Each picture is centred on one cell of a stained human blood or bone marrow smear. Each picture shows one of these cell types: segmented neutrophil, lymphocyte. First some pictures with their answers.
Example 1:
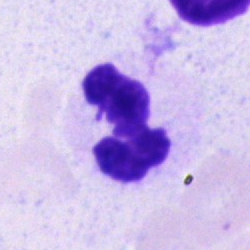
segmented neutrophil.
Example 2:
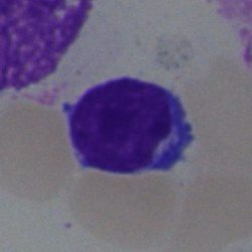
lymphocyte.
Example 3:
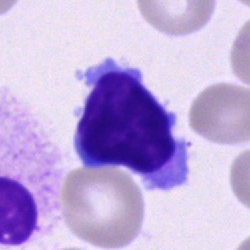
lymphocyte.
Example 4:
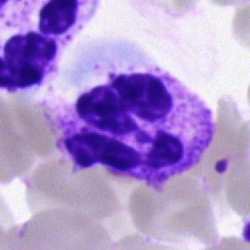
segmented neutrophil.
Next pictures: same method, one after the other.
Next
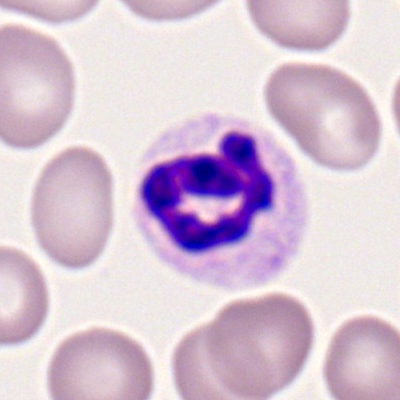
segmented neutrophil.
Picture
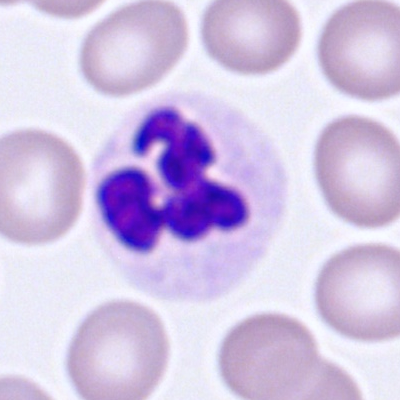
segmented neutrophil.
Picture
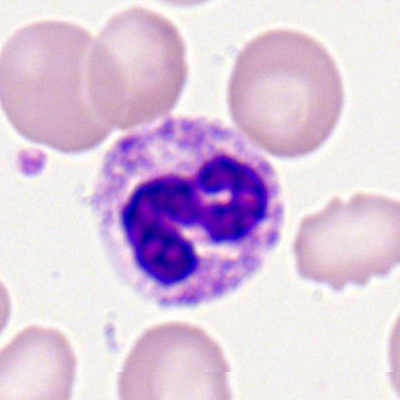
segmented neutrophil.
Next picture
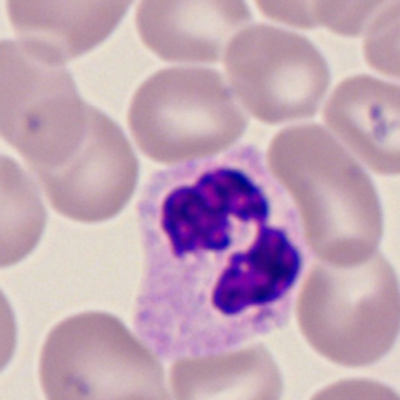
segmented neutrophil.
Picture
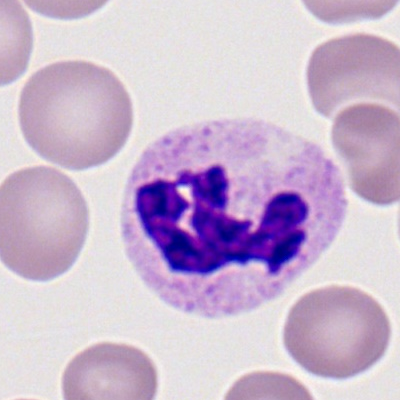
segmented neutrophil.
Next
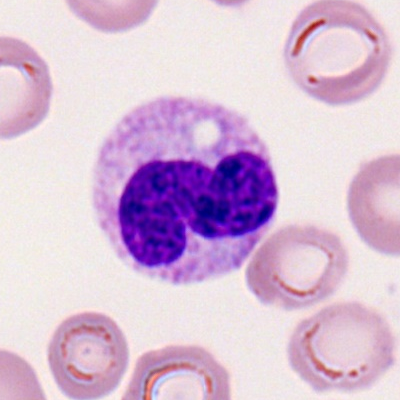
segmented neutrophil.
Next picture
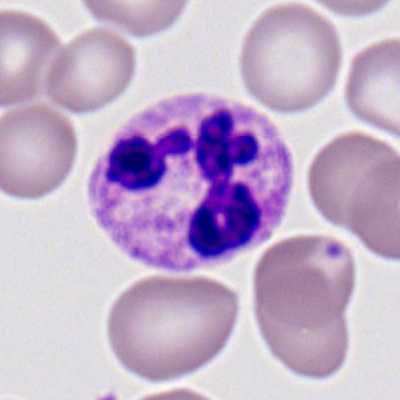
segmented neutrophil.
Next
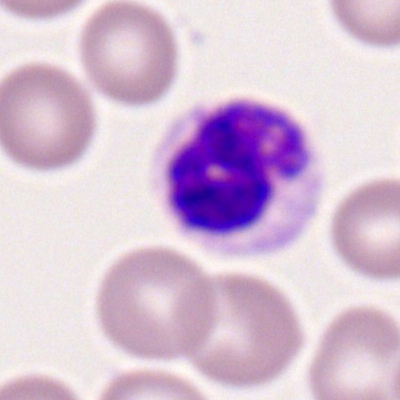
segmented neutrophil.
